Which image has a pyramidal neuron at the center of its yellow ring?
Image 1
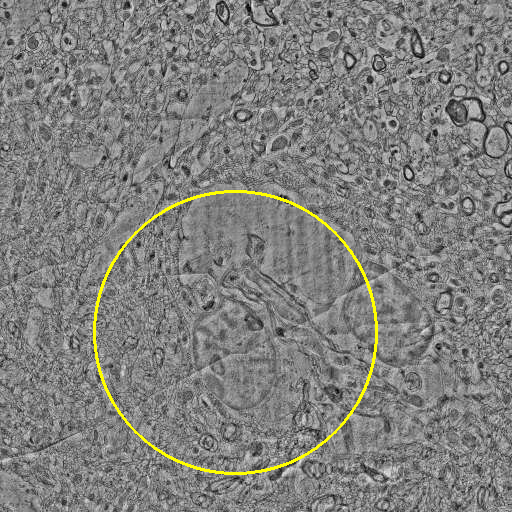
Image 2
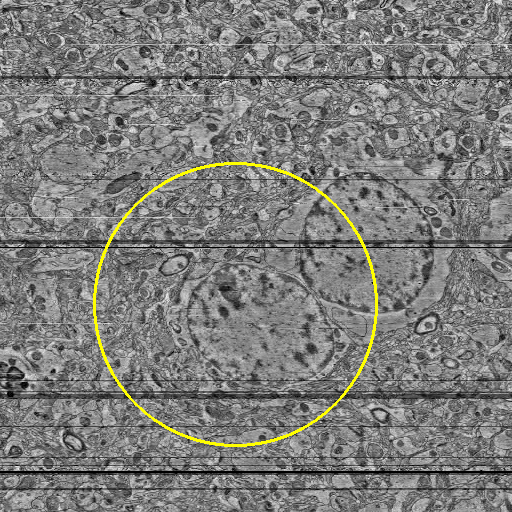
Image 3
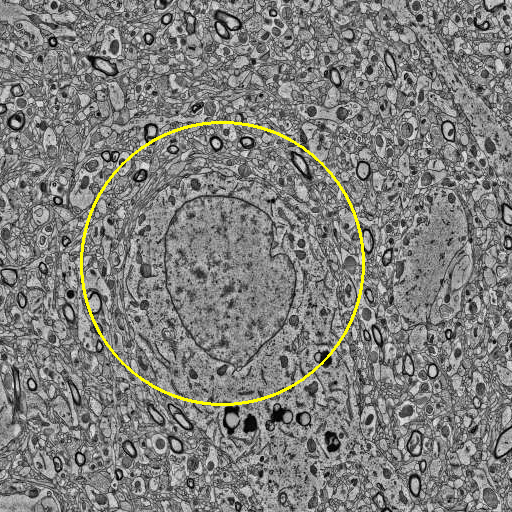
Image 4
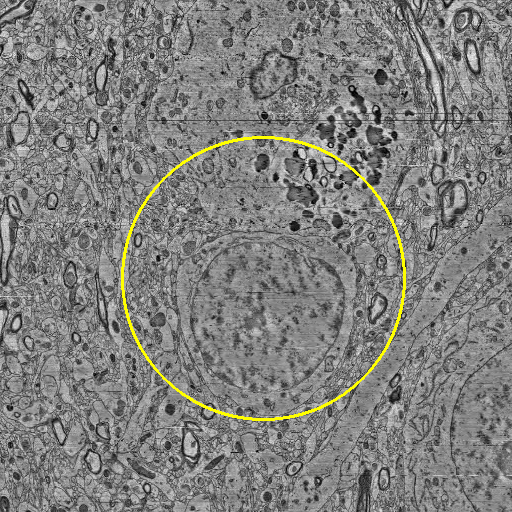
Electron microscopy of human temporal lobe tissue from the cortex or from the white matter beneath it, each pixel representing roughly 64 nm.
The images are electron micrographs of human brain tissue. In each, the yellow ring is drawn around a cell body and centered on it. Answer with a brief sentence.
It is at the center of the ring in Image 3.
